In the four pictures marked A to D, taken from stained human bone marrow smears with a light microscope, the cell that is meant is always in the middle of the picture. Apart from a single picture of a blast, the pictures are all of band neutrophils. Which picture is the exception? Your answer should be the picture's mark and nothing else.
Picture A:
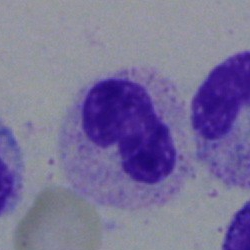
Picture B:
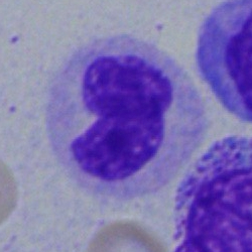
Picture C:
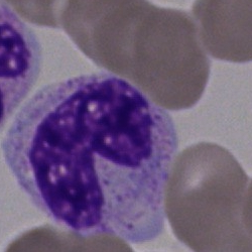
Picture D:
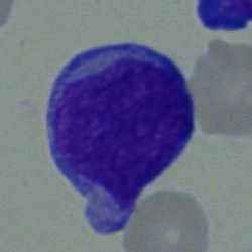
D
